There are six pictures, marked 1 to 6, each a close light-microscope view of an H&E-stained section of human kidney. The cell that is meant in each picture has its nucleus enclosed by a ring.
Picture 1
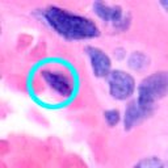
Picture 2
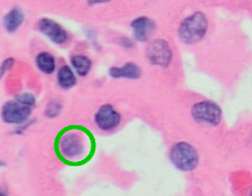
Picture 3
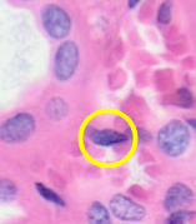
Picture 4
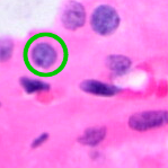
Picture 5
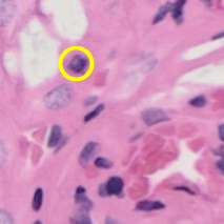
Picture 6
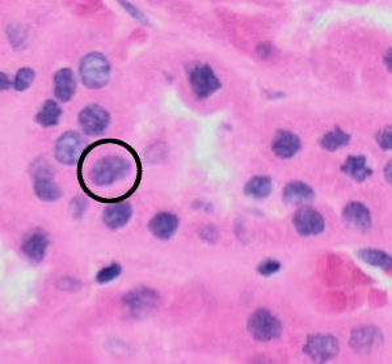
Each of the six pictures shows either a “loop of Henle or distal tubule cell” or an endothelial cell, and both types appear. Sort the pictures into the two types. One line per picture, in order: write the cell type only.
endothelial cell
loop of Henle or distal tubule cell
endothelial cell
loop of Henle or distal tubule cell
loop of Henle or distal tubule cell
loop of Henle or distal tubule cell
